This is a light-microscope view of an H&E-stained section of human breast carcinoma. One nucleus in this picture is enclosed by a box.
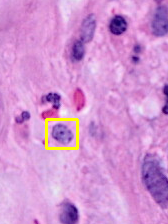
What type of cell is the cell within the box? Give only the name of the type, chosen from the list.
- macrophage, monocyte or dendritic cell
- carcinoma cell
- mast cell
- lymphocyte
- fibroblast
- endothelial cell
mast cell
